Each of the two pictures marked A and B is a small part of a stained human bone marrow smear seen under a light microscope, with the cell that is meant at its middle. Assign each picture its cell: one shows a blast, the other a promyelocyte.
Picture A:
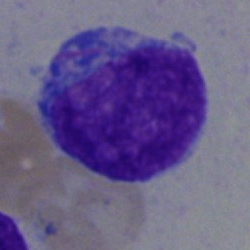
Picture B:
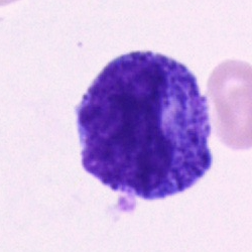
A: blast
B: promyelocyte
